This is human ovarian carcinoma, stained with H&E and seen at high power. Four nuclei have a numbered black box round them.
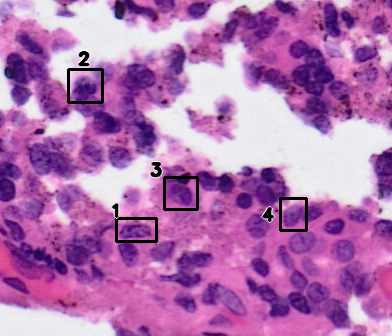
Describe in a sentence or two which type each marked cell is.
Cell 1 is a macrophage or monocyte, cell 2 is a carcinoma cell, cell 3 is a carcinoma cell and cell 4 is a carcinoma cell.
